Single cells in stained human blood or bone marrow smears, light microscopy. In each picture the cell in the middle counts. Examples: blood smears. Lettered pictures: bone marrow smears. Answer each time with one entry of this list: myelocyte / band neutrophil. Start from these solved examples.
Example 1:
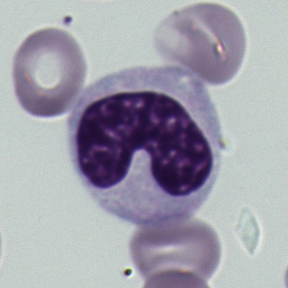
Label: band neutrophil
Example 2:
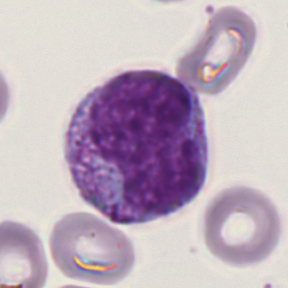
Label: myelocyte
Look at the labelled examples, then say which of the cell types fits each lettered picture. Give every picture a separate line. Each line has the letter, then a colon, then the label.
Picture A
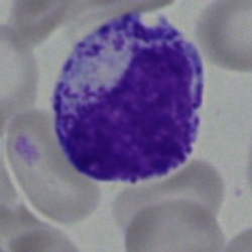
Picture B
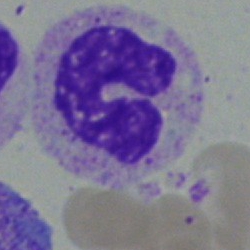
A: myelocyte
B: band neutrophil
